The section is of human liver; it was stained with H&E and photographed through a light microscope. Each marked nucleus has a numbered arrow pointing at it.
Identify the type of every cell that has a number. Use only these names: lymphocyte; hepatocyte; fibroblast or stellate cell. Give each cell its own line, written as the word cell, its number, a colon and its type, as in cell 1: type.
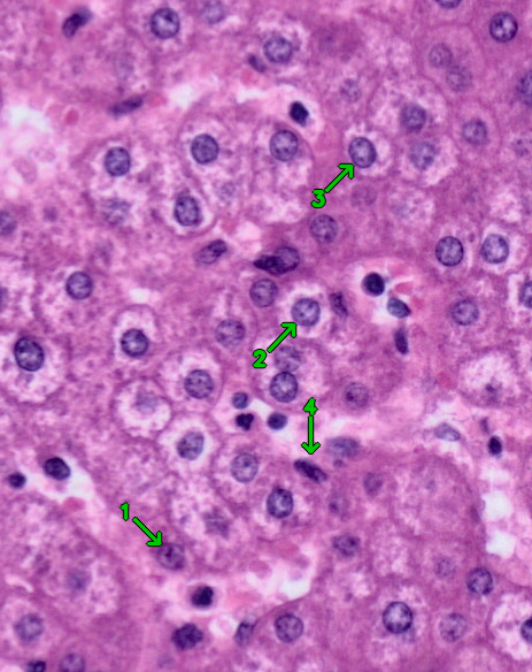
cell 1: hepatocyte
cell 2: hepatocyte
cell 3: hepatocyte
cell 4: fibroblast or stellate cell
